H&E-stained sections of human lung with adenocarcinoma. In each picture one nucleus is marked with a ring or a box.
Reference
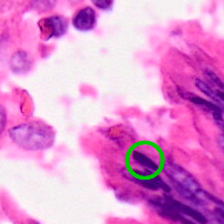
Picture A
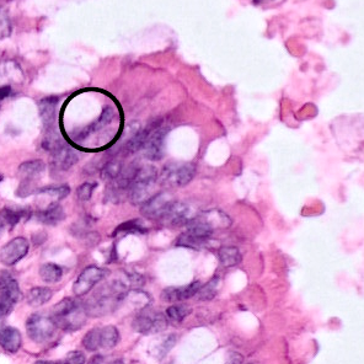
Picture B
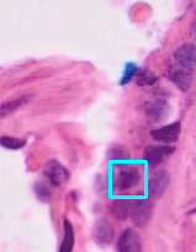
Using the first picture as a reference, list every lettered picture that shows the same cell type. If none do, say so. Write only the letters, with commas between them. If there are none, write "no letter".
A, B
